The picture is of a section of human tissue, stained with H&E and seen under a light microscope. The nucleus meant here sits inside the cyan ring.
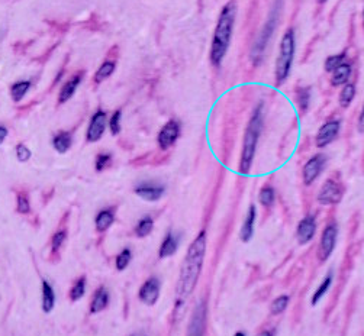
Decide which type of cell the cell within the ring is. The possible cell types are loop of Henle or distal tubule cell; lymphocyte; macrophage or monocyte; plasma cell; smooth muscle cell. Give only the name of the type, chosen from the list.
smooth muscle cell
